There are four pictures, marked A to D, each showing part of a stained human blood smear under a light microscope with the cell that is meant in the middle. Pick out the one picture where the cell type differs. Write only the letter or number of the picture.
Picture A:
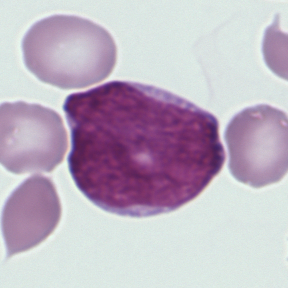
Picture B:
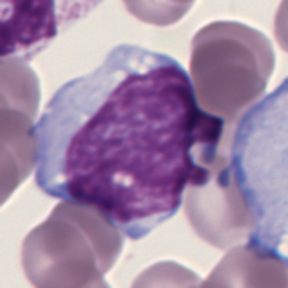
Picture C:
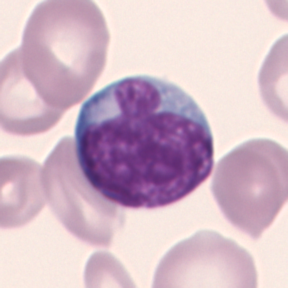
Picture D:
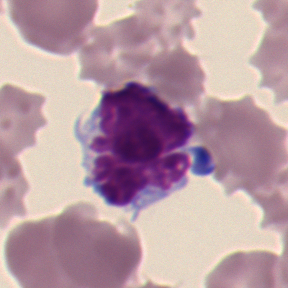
D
